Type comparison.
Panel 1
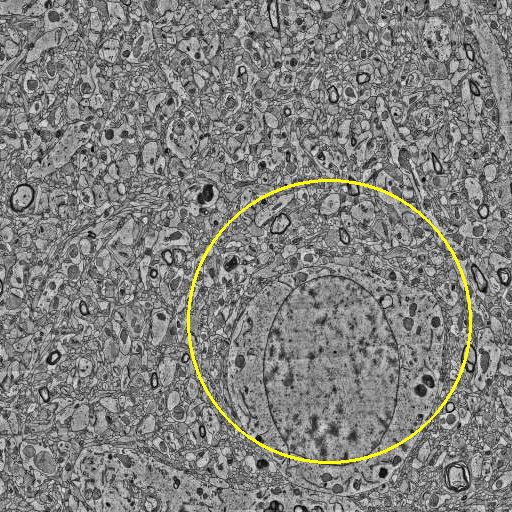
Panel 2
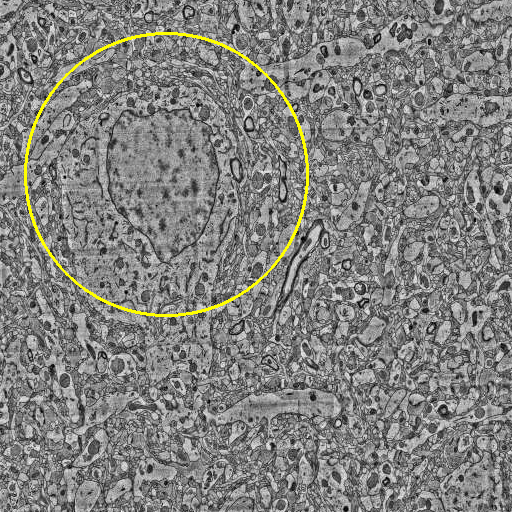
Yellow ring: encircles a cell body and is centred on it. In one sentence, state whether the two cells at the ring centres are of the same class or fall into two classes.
In these panels, the two cells at the ring centres are of the same class.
